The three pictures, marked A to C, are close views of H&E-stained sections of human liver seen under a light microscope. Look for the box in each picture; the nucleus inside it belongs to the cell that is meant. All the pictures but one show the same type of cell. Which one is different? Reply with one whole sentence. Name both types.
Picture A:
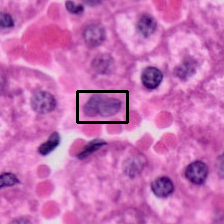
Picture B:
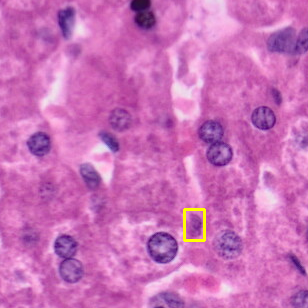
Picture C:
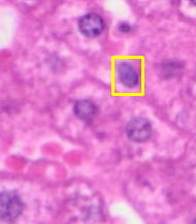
The others show Kupffer cells, but picture B shows an endothelial cell.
